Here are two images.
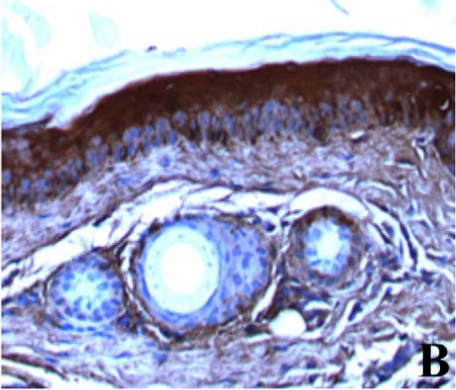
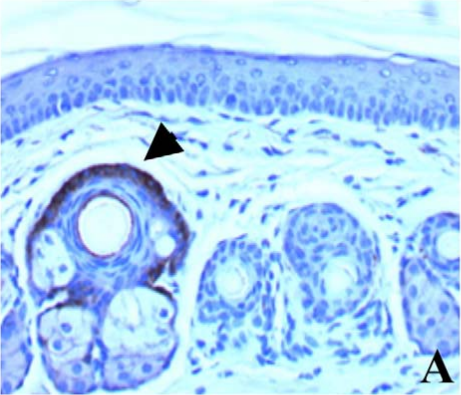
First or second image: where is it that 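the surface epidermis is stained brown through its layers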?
The first image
